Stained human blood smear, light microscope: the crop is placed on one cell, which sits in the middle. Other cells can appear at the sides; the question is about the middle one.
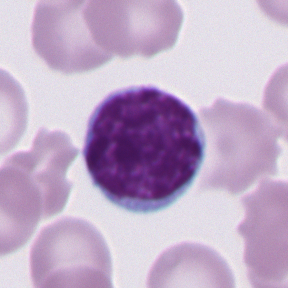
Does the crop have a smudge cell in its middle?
no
